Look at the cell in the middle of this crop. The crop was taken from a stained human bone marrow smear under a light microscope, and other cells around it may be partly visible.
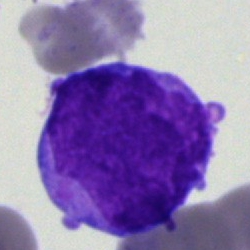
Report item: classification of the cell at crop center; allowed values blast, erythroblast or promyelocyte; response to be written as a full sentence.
The cell featured at the centre of this crop is a blast.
